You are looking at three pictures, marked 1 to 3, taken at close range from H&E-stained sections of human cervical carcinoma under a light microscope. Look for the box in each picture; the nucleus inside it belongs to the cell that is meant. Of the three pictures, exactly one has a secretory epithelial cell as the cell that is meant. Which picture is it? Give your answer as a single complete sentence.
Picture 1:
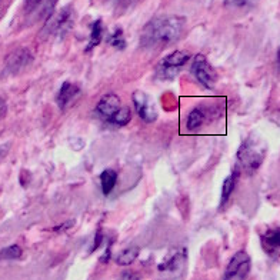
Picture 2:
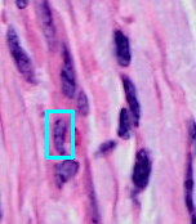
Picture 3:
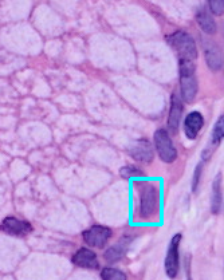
It is picture 3 that shows the secretory epithelial cell.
